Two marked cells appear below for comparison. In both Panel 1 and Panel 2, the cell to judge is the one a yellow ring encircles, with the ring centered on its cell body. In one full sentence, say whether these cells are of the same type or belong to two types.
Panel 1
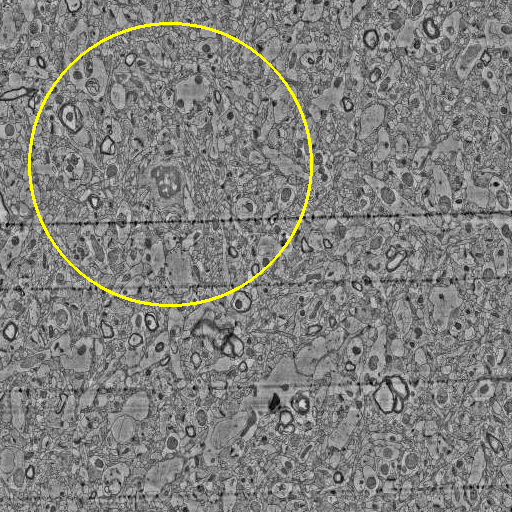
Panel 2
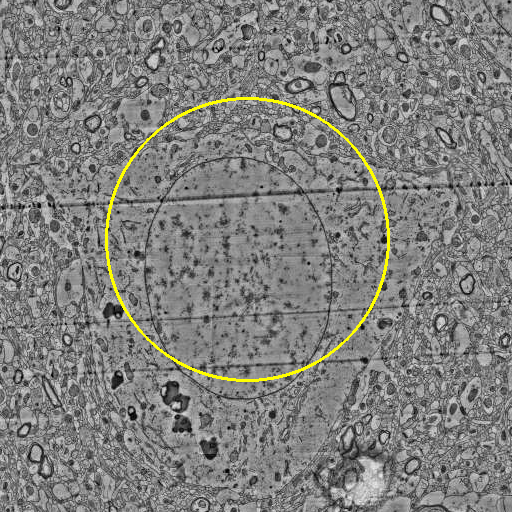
The cell centered in the Panel 1 ring and the one in Panel 2 belong to two types.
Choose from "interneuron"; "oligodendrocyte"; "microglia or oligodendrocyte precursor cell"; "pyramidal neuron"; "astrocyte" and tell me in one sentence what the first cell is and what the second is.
What the first ring is centred on is an oligodendrocyte; what the second ring is centred on is a pyramidal neuron.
